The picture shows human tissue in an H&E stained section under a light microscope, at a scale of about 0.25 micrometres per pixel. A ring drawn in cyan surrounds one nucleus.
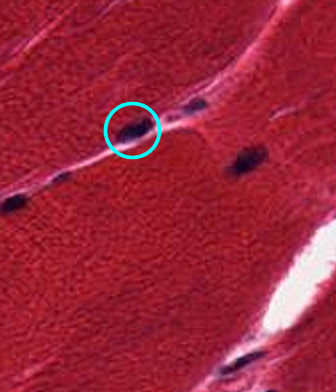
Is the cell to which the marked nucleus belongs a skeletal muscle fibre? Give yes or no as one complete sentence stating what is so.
Yes, the marked nucleus is a part of a skeletal muscle fibre.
